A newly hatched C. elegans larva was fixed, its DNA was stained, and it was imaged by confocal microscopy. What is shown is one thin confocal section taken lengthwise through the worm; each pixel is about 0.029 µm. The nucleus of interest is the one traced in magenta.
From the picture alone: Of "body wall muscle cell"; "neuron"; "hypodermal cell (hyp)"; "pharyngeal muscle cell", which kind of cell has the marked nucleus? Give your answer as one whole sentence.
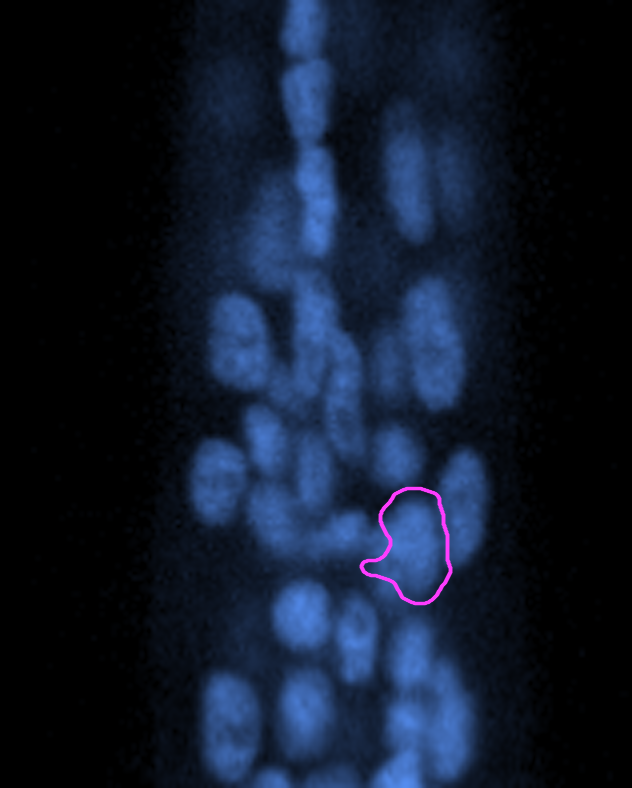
The marked cell is a hypodermal cell (hyp).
